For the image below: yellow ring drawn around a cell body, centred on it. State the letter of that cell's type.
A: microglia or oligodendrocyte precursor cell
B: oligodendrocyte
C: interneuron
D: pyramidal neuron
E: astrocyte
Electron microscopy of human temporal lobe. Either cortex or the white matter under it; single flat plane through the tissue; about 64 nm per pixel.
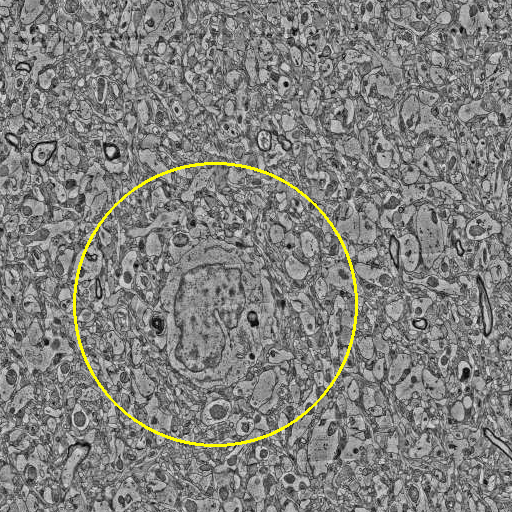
C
